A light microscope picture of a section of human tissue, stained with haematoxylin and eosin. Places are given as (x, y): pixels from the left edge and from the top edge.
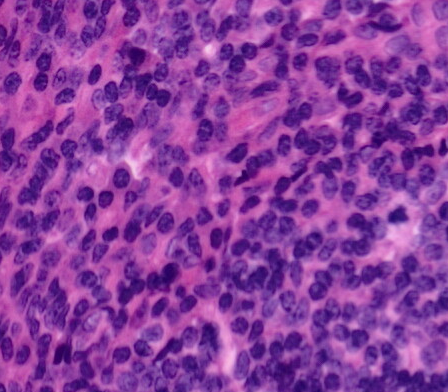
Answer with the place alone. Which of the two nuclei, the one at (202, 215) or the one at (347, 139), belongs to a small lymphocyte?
(347, 139)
